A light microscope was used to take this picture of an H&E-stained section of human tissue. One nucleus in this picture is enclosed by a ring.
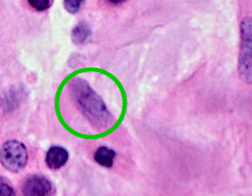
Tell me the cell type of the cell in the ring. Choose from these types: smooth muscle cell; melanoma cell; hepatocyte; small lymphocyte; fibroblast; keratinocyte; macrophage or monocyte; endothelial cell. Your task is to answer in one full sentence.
Labelled by cell type, the cell in the ring is a fibroblast.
